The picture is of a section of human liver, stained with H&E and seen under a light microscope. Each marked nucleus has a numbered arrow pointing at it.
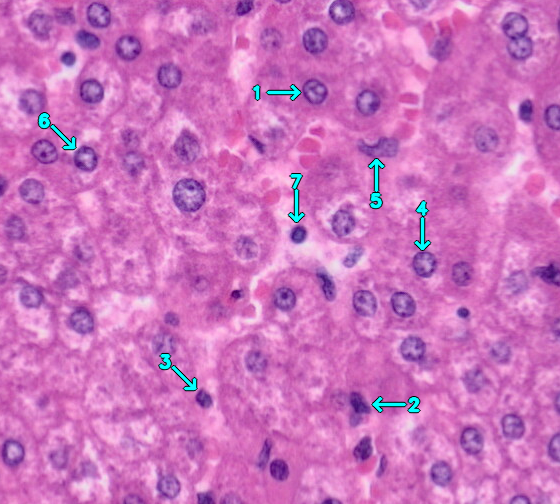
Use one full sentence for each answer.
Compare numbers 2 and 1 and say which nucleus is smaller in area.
With nucleus 1 about 2 times its size, nucleus 2 is the smaller of the two.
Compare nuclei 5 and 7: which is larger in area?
The larger nucleus is 5, at roughly 2 times the area of 7.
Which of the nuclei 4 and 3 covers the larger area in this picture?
It is nucleus 4, which covers about 2 times the area of nucleus 3.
